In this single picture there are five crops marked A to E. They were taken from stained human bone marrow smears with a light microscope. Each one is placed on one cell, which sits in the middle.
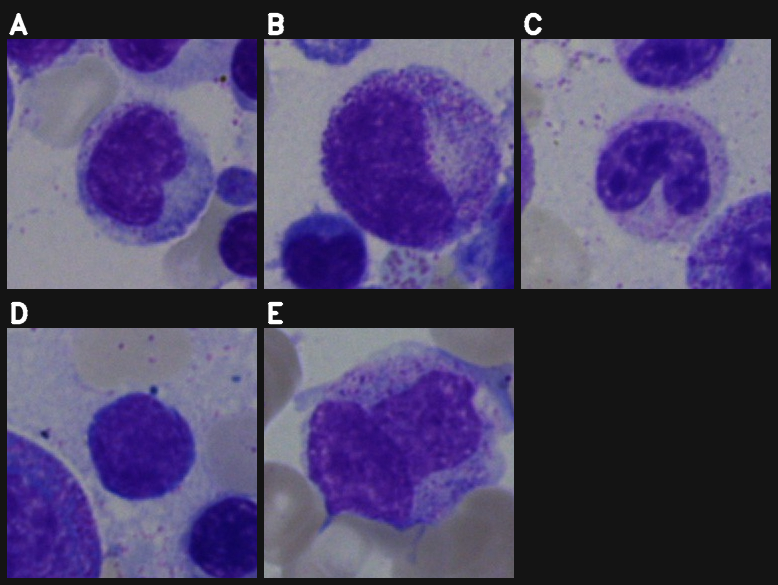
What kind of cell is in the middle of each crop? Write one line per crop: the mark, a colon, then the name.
A: metamyelocyte
B: metamyelocyte
C: band neutrophil
D: lymphocyte
E: monocyte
